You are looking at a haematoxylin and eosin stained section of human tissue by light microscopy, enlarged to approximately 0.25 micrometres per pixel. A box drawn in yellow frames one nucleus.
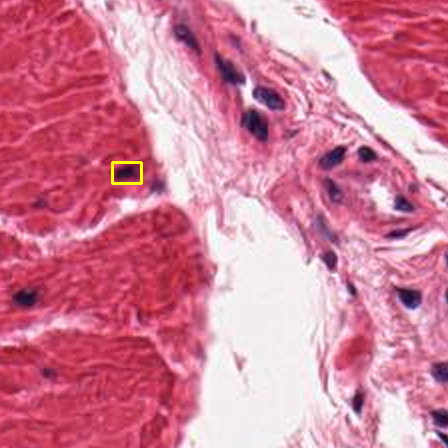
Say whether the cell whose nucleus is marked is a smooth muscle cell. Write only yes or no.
yes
